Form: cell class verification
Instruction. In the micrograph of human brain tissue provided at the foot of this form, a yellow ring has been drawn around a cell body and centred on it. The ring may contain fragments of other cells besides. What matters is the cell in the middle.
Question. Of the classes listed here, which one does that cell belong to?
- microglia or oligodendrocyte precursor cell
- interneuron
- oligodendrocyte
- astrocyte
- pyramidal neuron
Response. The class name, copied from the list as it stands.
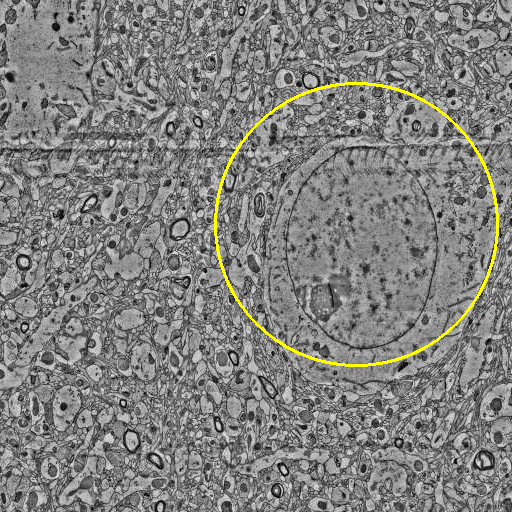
pyramidal neuron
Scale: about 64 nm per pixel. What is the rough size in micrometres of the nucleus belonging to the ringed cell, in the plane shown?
The nucleus works out at approximately 13 by 10 micrometres in this plane.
